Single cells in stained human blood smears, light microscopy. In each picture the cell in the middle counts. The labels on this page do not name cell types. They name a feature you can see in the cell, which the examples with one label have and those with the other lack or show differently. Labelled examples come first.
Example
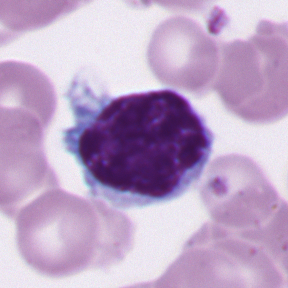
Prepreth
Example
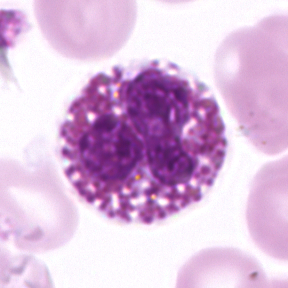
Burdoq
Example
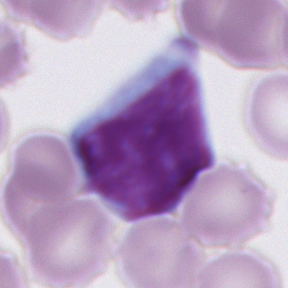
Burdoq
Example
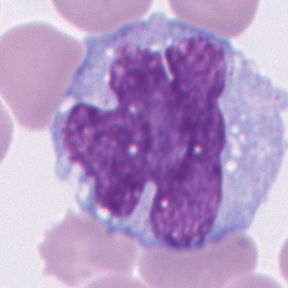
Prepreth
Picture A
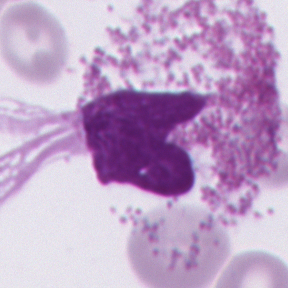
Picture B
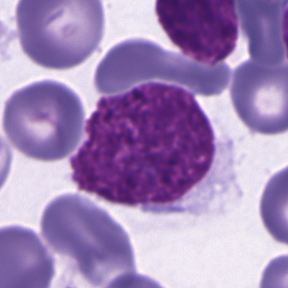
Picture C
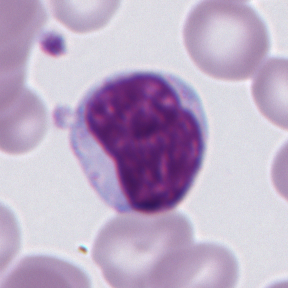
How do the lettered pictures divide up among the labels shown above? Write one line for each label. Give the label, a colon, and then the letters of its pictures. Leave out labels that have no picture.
Prepreth: A, B, C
